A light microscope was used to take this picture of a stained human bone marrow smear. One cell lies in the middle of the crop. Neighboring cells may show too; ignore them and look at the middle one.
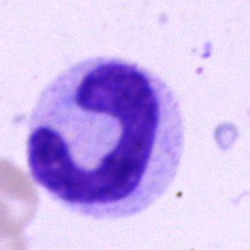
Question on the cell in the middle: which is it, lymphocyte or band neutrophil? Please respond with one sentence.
The crop shows a band neutrophil in its centre.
